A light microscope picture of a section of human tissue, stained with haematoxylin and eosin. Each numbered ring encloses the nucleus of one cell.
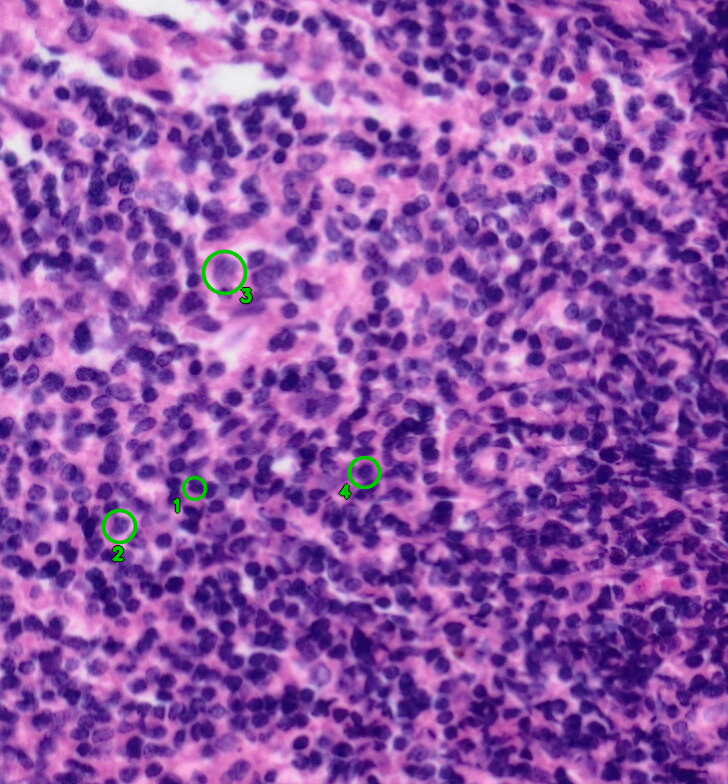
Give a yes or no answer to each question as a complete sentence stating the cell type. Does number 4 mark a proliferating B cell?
No, cell 4 is not a proliferating B cell, but is instead a small lymphocyte.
